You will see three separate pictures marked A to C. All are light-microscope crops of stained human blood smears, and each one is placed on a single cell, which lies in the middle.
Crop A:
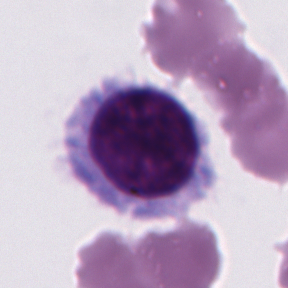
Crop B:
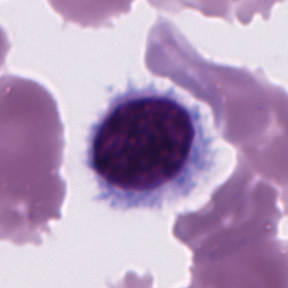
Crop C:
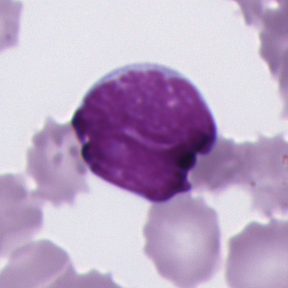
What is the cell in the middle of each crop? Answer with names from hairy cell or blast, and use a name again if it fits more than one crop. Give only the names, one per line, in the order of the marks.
hairy cell
hairy cell
blast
